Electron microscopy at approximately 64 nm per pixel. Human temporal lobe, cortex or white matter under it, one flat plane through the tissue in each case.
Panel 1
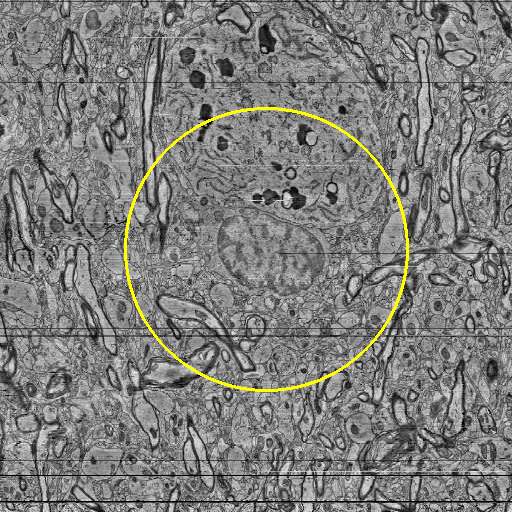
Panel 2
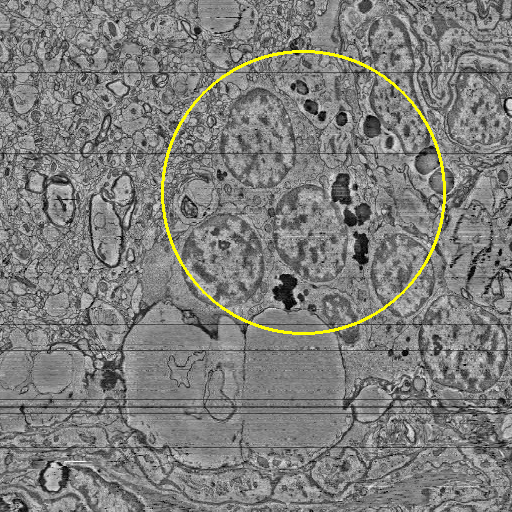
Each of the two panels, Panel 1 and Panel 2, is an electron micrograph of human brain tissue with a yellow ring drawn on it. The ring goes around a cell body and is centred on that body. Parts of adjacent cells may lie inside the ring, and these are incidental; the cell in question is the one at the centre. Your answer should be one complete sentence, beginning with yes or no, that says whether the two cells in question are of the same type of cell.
Yes, the two cells are of the same type.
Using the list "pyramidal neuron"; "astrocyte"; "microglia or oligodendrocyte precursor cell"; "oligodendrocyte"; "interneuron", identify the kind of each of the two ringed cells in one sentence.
Each cell at the centre of a ring is an oligodendrocyte.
